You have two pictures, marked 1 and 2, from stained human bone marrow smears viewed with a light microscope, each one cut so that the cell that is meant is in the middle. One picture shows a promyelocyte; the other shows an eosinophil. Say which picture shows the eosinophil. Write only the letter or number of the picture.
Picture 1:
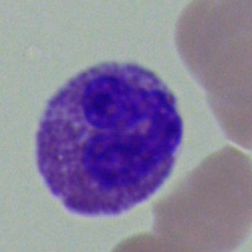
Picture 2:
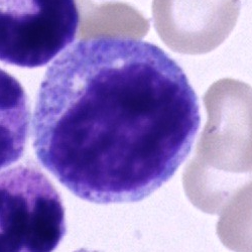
1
